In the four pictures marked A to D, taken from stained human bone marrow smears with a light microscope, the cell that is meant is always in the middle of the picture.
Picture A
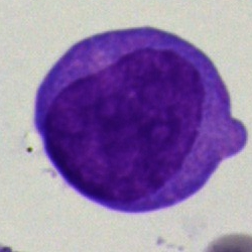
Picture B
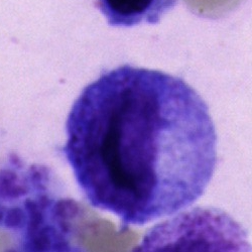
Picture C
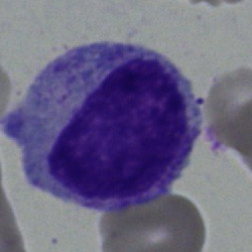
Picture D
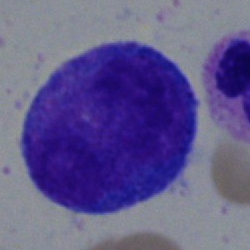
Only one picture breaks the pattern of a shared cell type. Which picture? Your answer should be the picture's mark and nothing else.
A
